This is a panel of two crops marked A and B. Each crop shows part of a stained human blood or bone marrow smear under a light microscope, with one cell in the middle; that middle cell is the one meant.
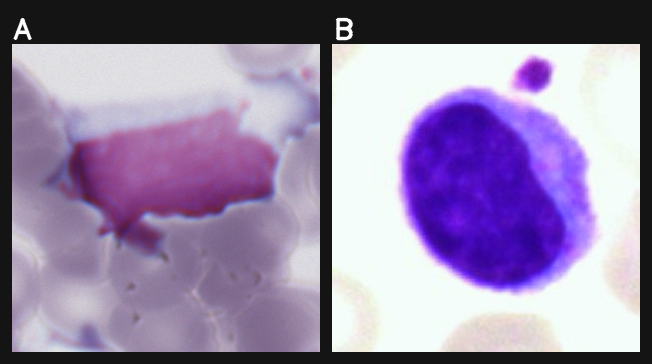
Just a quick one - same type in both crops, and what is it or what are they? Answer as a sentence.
Yes, both crops show lymphocytes, and nothing else needs adding.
